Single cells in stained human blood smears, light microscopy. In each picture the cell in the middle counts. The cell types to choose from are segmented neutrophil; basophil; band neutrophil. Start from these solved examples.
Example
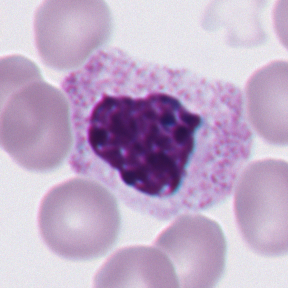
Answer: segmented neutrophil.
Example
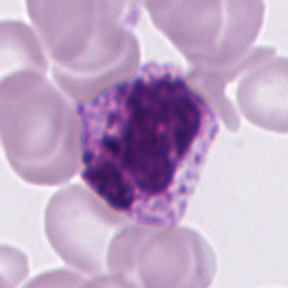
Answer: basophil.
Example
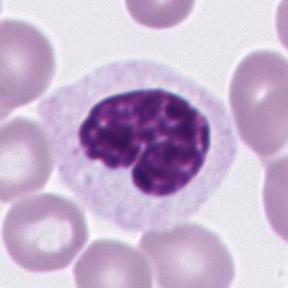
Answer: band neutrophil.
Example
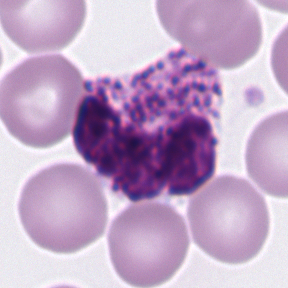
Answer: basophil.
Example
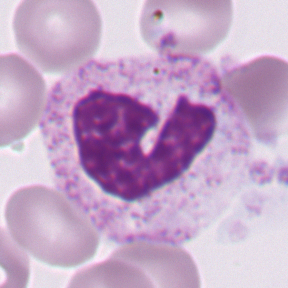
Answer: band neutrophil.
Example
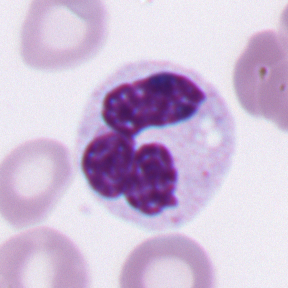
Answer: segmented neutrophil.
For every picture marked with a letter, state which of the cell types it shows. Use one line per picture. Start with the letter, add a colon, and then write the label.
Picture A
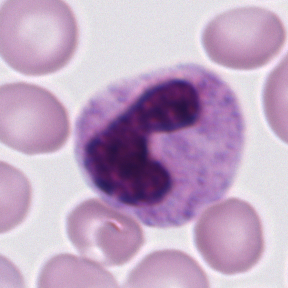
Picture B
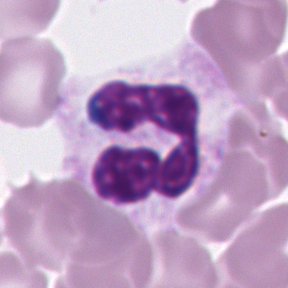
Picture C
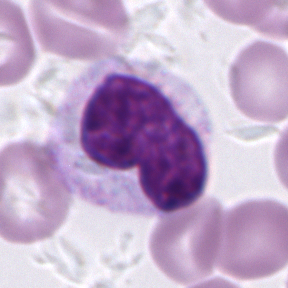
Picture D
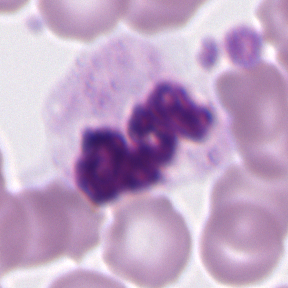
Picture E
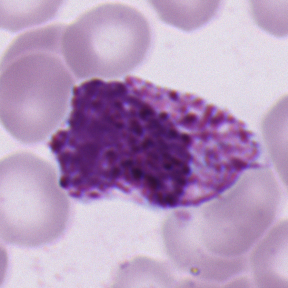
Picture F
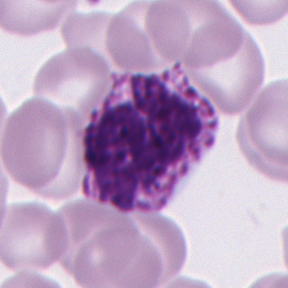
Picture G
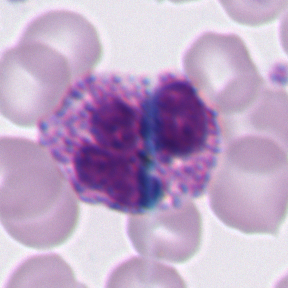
A: segmented neutrophil.
B: segmented neutrophil.
C: band neutrophil.
D: segmented neutrophil.
E: basophil.
F: basophil.
G: basophil.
